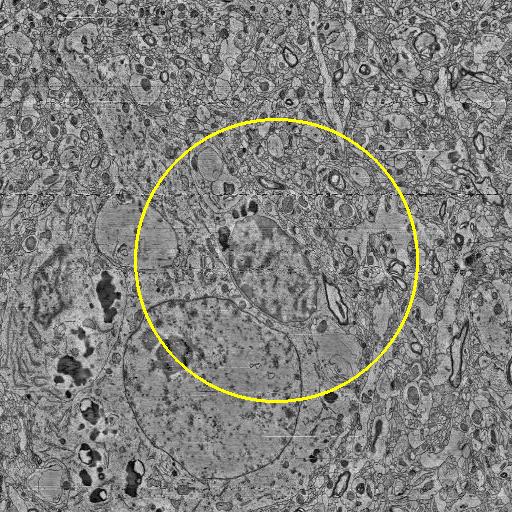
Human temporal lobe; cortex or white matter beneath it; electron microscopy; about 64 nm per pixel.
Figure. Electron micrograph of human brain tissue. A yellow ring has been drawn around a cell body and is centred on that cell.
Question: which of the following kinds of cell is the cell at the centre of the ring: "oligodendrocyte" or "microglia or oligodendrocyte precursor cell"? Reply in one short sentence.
The cell at the centre of the ring is an oligodendrocyte.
